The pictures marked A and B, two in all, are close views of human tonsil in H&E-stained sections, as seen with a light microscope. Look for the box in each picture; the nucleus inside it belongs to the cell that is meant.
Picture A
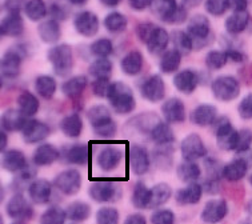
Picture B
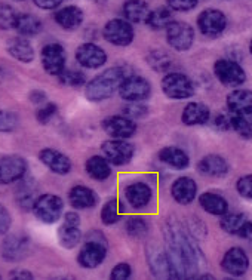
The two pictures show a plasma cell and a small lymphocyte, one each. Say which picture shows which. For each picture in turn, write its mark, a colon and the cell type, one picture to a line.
A: small lymphocyte
B: plasma cell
